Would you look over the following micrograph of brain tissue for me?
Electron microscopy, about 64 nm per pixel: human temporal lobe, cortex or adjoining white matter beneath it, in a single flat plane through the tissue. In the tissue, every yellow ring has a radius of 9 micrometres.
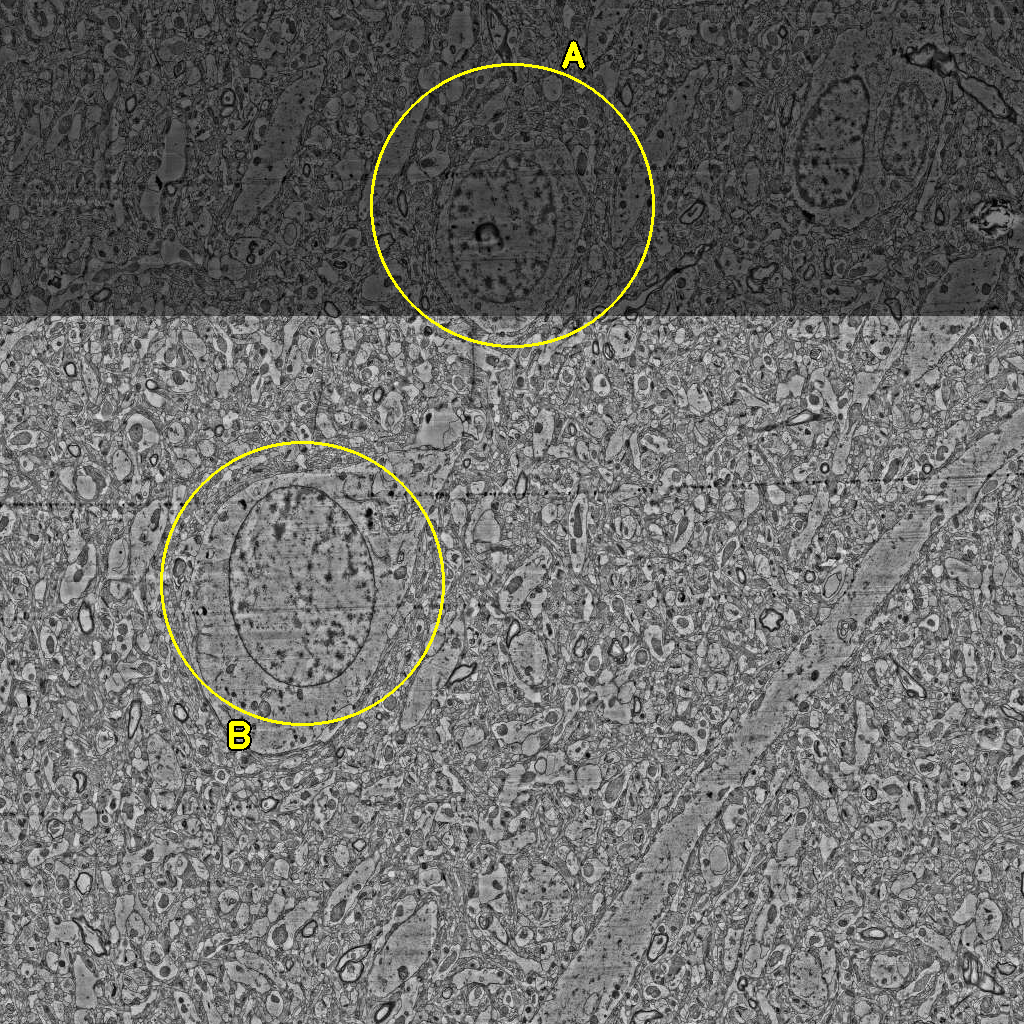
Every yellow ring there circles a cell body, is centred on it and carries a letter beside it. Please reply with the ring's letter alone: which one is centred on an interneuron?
A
